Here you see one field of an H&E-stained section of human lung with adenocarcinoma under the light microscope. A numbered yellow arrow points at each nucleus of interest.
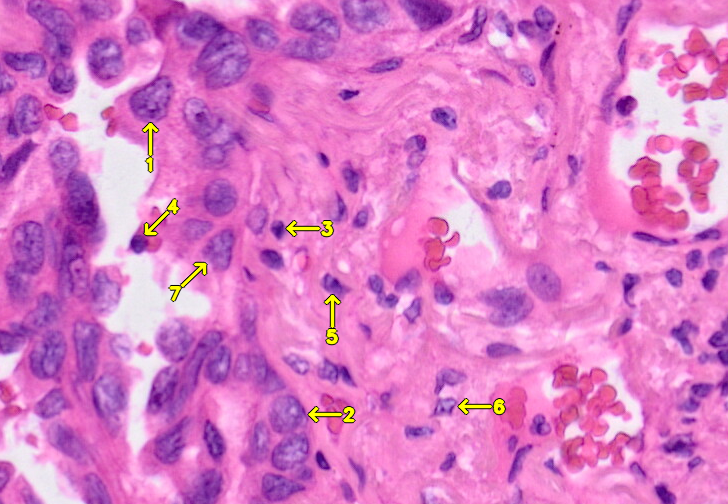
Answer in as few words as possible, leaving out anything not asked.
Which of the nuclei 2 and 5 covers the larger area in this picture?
2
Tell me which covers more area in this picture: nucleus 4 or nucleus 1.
1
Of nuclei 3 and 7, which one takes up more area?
7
